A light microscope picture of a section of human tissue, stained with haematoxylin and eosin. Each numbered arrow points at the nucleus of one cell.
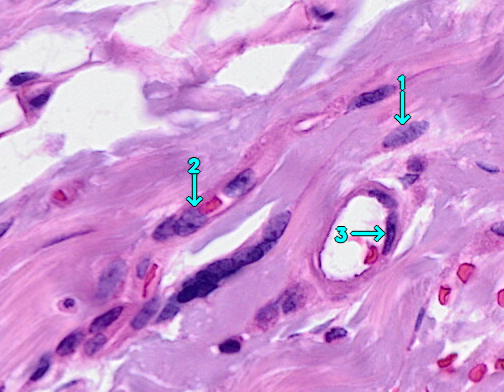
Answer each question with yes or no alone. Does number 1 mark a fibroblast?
yes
